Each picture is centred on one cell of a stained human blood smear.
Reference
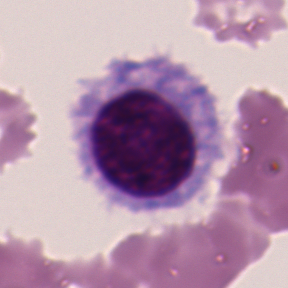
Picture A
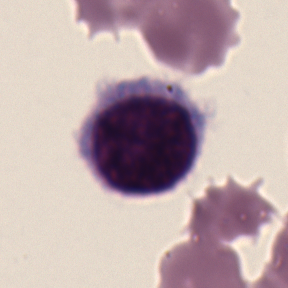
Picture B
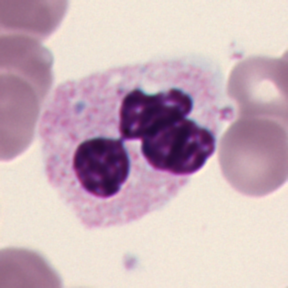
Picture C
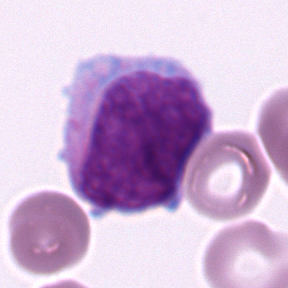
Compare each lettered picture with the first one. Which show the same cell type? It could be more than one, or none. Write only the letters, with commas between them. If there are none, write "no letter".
A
